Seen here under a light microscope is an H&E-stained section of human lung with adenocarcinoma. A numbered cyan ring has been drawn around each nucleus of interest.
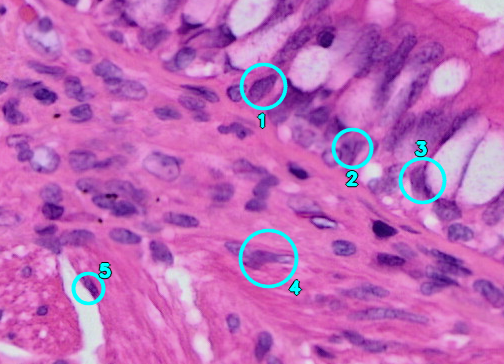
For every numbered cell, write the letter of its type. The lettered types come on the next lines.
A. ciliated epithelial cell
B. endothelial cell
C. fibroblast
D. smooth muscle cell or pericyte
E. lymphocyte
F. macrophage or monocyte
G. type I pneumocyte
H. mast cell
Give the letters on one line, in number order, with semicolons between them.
A; A; A; D; D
